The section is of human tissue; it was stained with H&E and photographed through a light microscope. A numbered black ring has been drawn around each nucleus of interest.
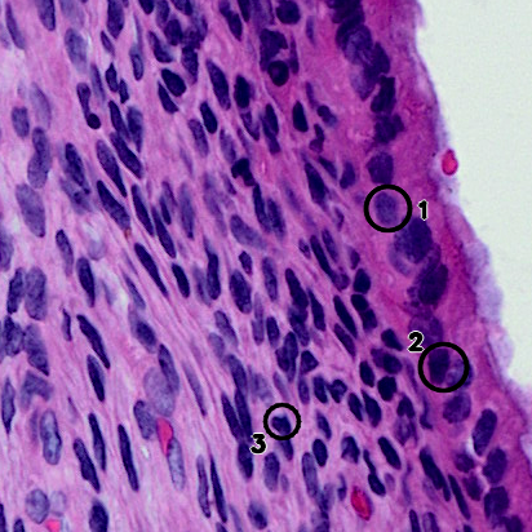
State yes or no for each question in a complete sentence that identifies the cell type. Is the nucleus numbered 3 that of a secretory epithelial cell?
No, the cell at marker 3 is not a secretory epithelial cell; it is a fibroblast.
